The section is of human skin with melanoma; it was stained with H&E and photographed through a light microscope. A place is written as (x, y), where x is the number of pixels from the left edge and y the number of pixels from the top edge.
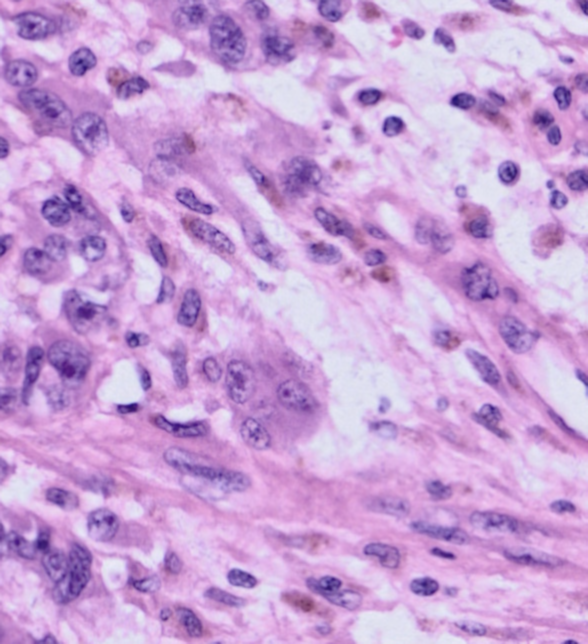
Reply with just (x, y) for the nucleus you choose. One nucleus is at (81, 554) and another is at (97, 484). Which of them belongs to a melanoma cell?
(81, 554)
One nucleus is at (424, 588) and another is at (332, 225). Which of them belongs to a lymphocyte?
(424, 588)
